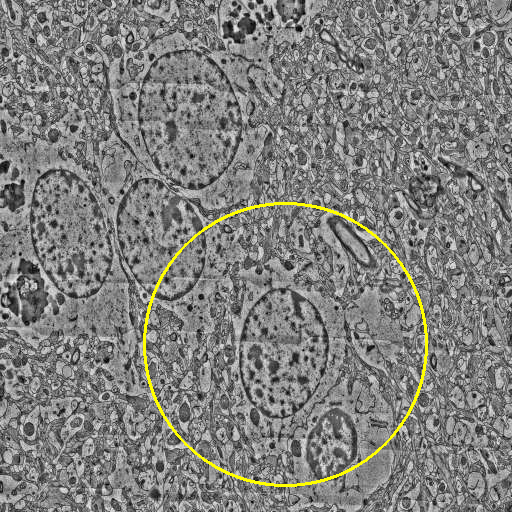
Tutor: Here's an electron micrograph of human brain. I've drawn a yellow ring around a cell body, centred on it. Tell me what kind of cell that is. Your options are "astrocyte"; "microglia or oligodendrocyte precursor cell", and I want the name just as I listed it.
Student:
astrocyte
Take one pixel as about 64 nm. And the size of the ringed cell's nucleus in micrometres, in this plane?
The nucleus comes to roughly 8 by 6 micrometres in this plane.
